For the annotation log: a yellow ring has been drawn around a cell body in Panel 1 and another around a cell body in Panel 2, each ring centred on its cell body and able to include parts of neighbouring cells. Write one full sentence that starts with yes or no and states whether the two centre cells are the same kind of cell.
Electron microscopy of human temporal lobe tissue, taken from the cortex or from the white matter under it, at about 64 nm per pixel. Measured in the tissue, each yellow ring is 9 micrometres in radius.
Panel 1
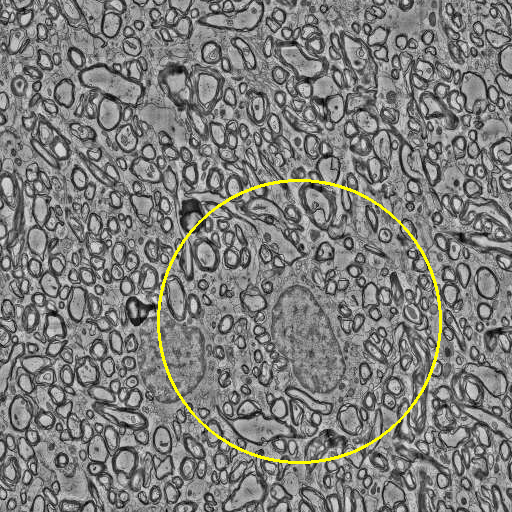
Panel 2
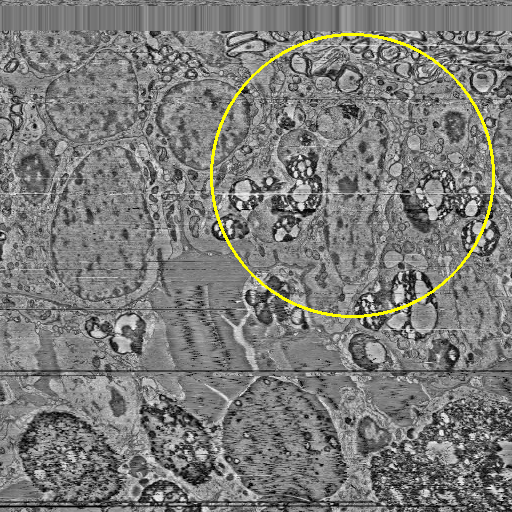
No, the two centre cells are two kinds of cell.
